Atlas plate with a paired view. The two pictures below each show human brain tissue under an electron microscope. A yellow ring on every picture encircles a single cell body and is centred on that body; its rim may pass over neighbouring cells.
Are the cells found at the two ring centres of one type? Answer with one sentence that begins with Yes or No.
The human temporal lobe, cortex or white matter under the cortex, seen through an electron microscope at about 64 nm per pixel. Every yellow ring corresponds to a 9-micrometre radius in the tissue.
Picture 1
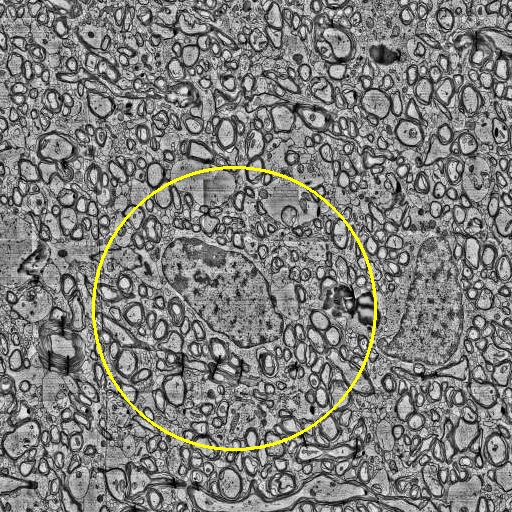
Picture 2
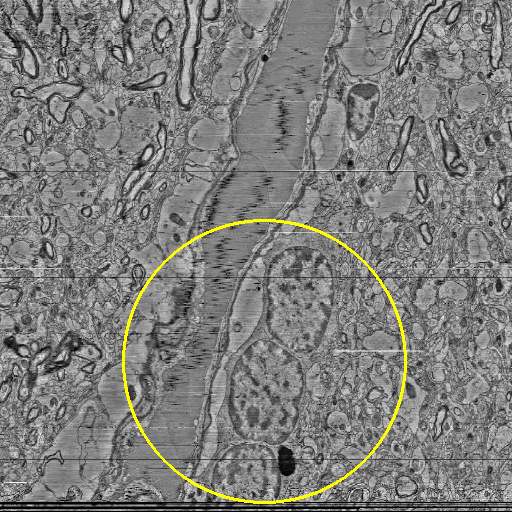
No, the two cells lying at the centres of the rings are of two types.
